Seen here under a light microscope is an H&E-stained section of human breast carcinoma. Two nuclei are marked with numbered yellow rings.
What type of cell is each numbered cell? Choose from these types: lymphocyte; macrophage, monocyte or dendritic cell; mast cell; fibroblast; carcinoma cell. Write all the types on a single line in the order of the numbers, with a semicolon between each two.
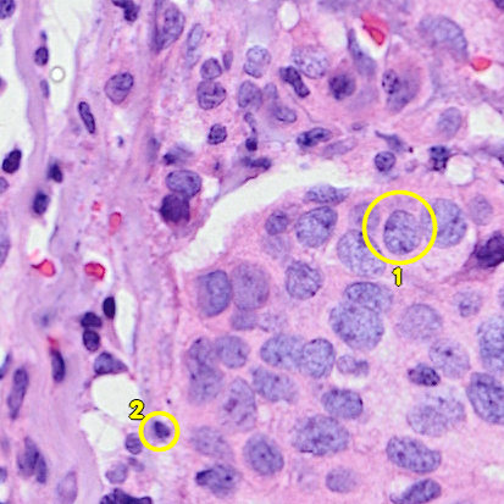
carcinoma cell; lymphocyte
